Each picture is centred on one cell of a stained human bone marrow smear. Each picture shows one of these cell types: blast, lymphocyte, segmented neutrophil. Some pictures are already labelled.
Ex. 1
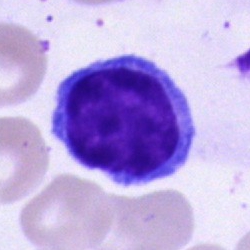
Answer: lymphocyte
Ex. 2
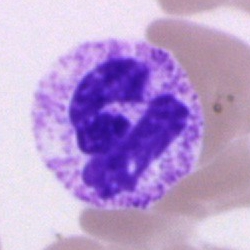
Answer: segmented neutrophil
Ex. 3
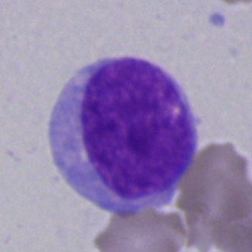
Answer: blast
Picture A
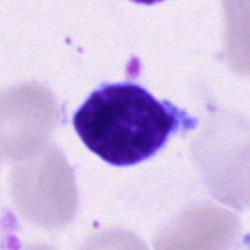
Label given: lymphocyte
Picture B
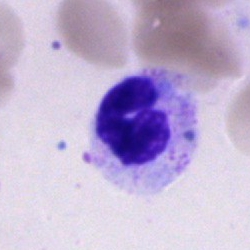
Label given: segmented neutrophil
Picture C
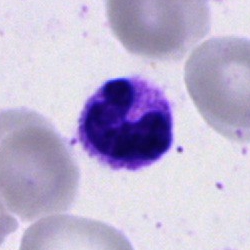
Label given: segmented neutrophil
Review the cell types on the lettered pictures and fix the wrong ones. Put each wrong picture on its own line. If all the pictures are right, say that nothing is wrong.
All labels are correct.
